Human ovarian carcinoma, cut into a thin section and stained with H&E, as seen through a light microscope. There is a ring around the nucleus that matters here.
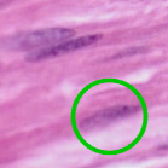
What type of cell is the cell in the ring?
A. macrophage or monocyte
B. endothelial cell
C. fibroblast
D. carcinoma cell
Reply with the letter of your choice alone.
C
